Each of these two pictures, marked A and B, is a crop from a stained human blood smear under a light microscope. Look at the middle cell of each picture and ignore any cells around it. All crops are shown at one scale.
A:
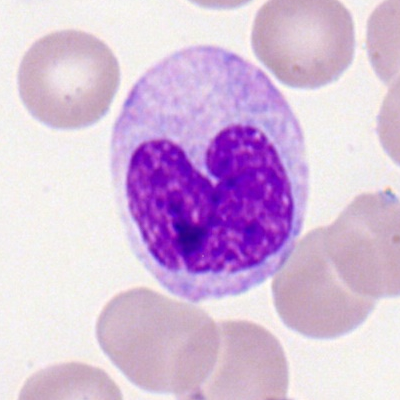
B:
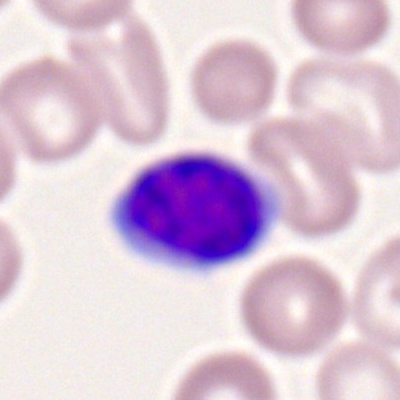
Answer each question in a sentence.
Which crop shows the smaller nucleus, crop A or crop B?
Smaller is the nucleus in crop B, and the other is about 2 times as large in area.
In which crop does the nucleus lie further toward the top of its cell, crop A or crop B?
Seen within its cell, the nucleus in crop B lies further toward the top.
